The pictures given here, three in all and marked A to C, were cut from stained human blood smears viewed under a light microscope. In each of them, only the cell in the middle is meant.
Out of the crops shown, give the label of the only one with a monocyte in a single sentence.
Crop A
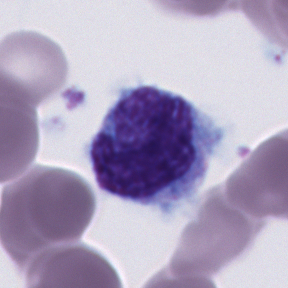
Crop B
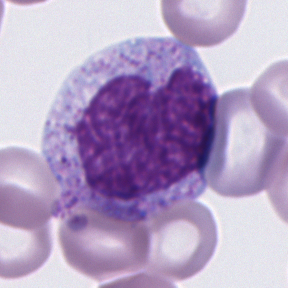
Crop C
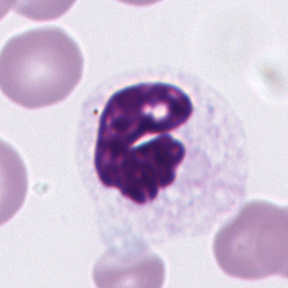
The one showing a monocyte is crop A.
